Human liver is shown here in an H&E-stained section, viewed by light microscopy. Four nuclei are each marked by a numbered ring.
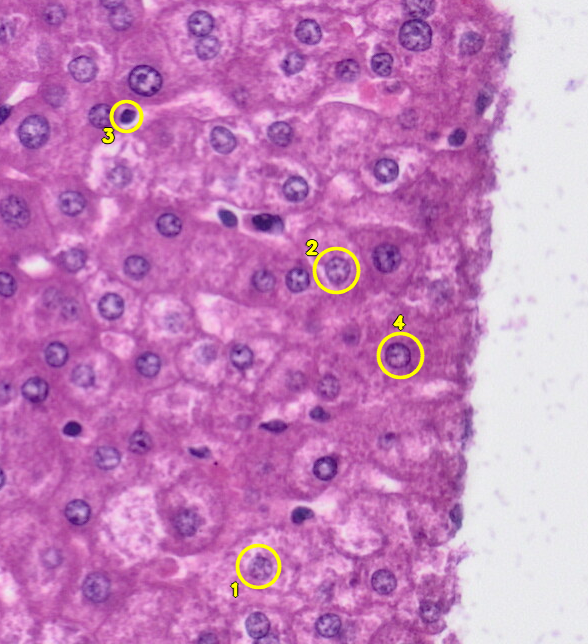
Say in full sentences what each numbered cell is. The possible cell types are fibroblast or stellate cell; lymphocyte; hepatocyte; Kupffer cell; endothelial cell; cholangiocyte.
Cell 1 is a hepatocyte, cell 2 is a hepatocyte, cell 3 is a lymphocyte and cell 4 is a hepatocyte.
